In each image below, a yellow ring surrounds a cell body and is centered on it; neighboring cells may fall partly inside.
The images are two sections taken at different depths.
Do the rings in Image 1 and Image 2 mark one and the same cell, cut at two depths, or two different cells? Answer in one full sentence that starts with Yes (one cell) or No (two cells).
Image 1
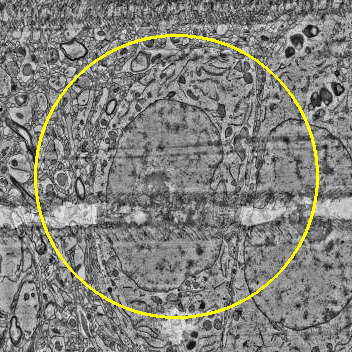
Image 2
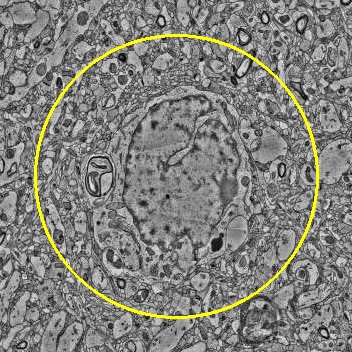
No, each yellow ring marks its own cell.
